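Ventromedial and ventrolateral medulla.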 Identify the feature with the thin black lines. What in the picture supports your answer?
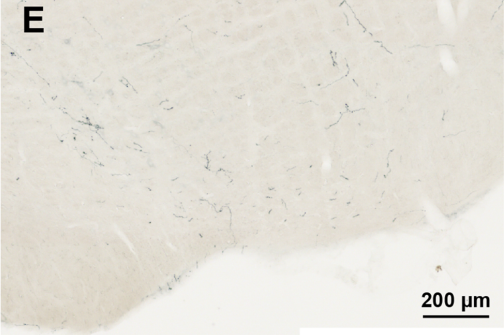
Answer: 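Thin, dark, thread-like lines run in various directions across pale unstained tissue. Some lines are beaded or end in small dots. The answer: axon fibers.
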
